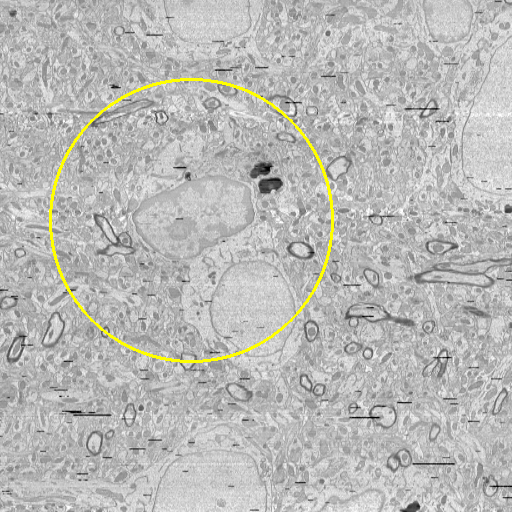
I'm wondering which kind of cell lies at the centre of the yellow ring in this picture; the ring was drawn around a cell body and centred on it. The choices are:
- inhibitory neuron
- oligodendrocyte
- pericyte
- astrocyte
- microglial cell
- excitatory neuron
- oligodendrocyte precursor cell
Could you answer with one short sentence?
At the centre of the ring lies a microglial cell.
